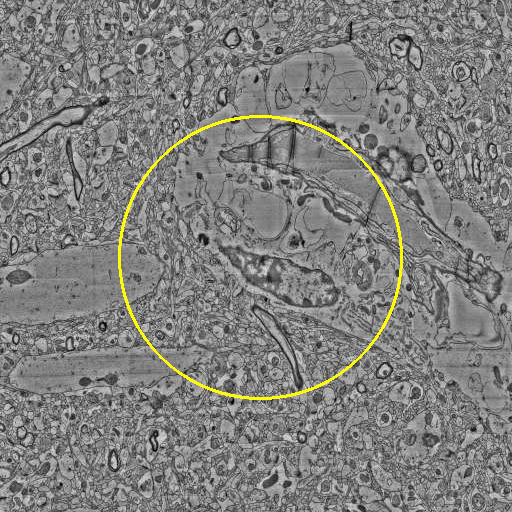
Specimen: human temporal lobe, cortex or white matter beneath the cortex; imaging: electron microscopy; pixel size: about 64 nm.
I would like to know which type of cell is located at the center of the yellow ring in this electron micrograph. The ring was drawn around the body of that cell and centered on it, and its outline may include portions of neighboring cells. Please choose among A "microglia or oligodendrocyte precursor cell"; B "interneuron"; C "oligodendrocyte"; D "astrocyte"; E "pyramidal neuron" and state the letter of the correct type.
A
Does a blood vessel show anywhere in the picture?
Yes, a blood vessel can be seen.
